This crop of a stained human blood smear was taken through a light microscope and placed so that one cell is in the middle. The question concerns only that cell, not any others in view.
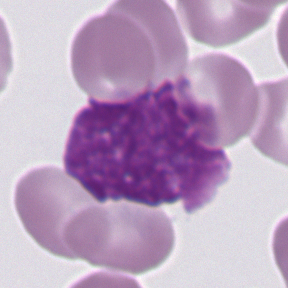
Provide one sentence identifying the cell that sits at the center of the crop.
In short, the cell at the center is a smudge cell.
